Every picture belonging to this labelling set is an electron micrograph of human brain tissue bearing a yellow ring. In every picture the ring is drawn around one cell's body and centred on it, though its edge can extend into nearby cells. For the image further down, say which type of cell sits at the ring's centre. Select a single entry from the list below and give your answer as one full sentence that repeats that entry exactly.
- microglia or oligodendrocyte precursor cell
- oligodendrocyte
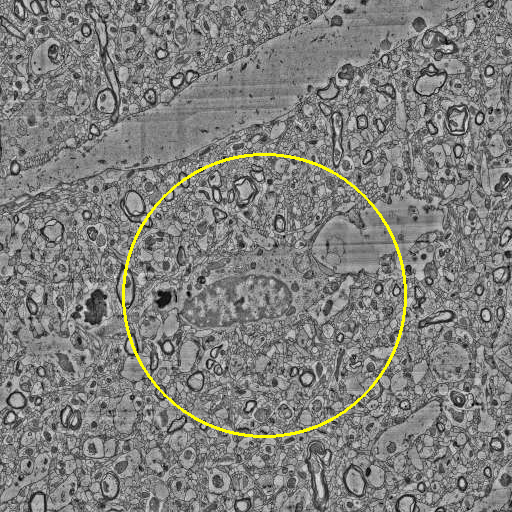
In the picture, an oligodendrocyte is the cell at the centre of the yellow ring.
